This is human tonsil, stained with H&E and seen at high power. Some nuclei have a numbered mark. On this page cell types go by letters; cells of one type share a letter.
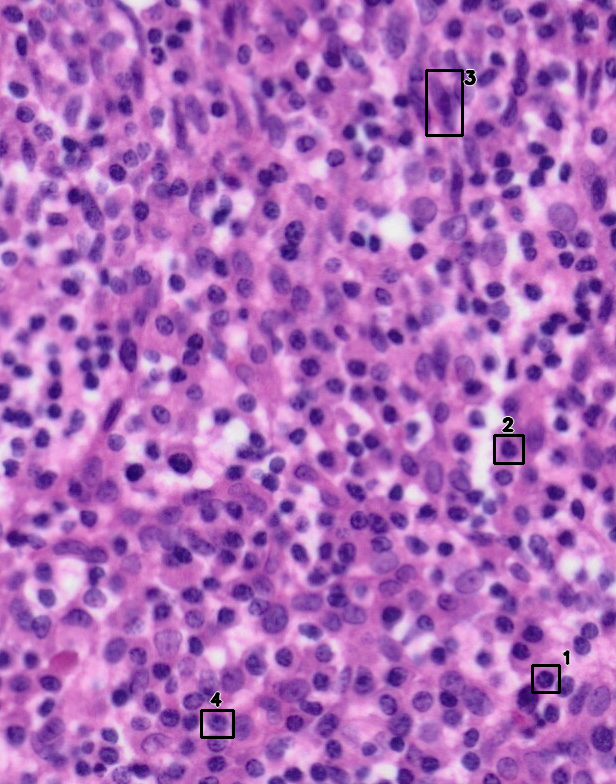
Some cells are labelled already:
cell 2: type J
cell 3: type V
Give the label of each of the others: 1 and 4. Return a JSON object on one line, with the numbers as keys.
{"1": "type J", "4": "type J"}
